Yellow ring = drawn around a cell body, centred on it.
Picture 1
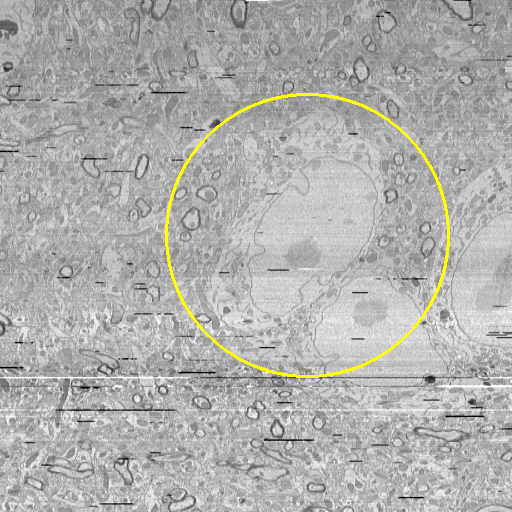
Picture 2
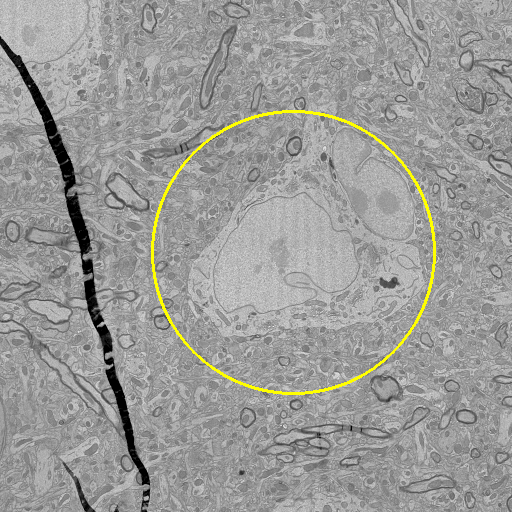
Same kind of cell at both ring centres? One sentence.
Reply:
Yes, they are the same kind of cell.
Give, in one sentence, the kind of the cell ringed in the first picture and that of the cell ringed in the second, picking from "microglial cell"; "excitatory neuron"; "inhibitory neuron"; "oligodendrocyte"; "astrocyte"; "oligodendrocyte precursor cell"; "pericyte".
In both pictures the ring is centred on an excitatory neuron.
